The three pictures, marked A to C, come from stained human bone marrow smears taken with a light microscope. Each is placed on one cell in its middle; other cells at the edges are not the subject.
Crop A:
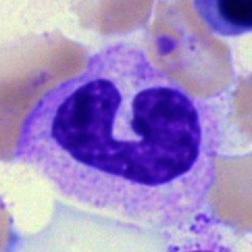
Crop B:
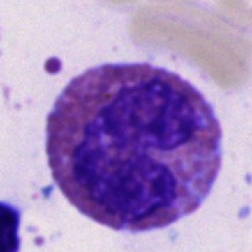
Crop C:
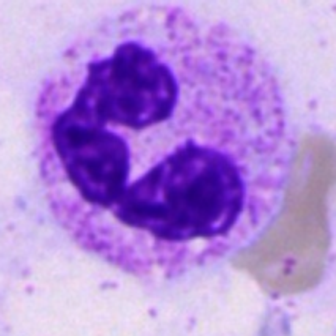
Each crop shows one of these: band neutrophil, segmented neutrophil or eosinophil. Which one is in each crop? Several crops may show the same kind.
A: band neutrophil
B: eosinophil
C: segmented neutrophil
